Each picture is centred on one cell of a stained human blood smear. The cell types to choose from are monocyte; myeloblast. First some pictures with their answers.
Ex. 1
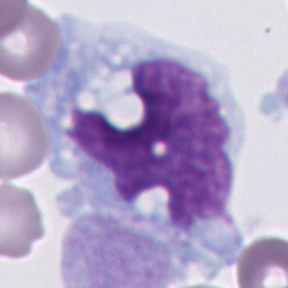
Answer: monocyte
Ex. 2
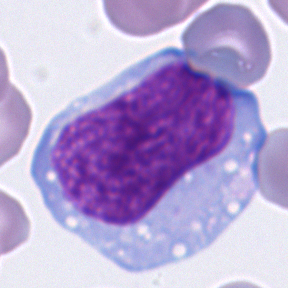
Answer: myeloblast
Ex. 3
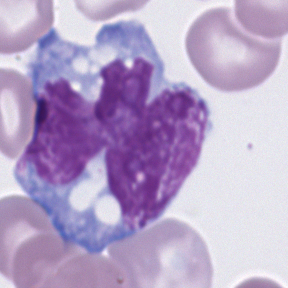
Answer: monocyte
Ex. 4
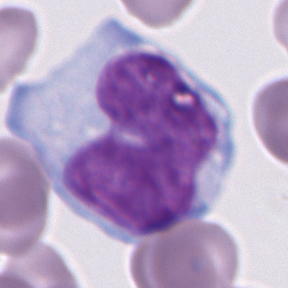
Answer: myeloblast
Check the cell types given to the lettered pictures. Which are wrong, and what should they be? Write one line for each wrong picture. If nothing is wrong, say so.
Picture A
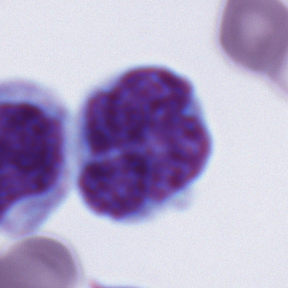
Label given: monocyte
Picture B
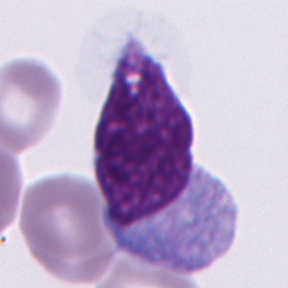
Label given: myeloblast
B: monocyte, not myeloblast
